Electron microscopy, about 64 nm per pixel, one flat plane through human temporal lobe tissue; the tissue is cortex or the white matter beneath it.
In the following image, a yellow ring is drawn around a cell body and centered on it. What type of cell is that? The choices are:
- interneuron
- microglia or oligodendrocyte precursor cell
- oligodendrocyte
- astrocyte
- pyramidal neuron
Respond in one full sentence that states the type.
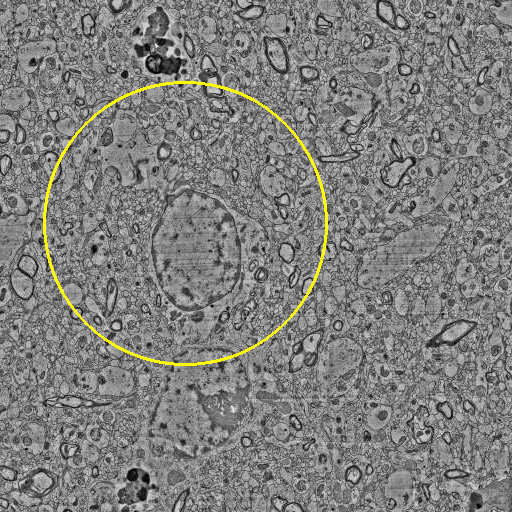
The cell at the center of the yellow ring in the image is a microglial cell or oligodendrocyte precursor cell.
